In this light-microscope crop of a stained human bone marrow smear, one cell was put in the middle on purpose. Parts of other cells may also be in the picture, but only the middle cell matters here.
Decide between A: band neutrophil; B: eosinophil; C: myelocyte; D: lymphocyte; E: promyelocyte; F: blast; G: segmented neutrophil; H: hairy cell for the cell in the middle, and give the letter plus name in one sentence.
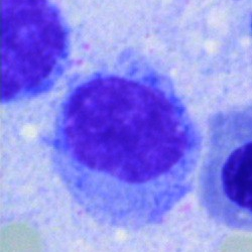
Option H is correct in naming the middle cell a hairy cell.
